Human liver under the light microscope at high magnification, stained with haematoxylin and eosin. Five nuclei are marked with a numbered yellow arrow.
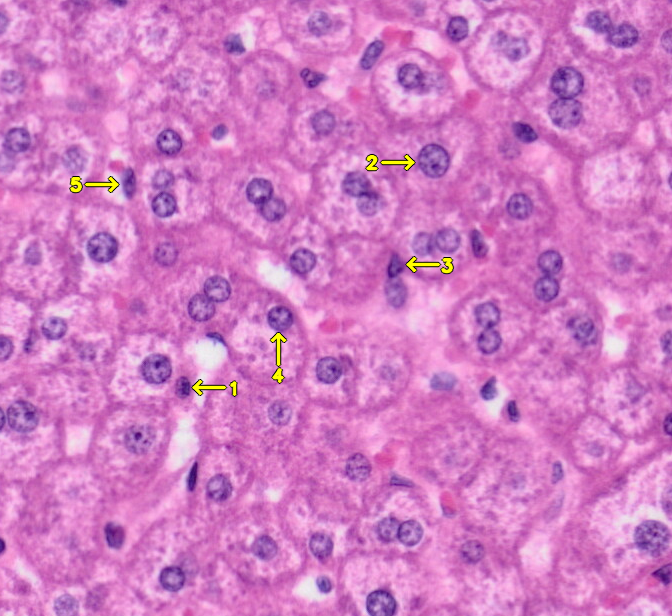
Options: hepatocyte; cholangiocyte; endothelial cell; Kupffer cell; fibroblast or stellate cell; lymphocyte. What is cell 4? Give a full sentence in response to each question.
Cell 4 should be recorded as a hepatocyte.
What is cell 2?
At number 2, the marked cell is a hepatocyte.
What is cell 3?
Number 3 is placed on a fibroblast or stellate cell here.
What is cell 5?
It is as an endothelial cell that the cell numbered 5 is identified.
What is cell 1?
Identified as a Kupffer cell is the cell bearing the number 1.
